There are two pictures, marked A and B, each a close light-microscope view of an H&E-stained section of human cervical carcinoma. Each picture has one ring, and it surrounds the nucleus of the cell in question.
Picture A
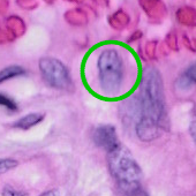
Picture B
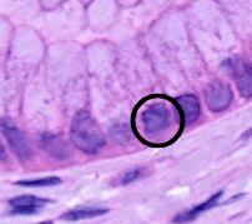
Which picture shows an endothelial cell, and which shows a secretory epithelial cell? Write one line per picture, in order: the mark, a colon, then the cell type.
A: endothelial cell
B: secretory epithelial cell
